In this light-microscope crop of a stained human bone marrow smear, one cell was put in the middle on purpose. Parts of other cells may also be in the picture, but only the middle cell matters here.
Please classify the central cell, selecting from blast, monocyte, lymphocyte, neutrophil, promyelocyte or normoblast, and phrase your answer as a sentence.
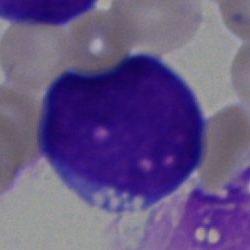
Positioned in the middle of the crop is a blast.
